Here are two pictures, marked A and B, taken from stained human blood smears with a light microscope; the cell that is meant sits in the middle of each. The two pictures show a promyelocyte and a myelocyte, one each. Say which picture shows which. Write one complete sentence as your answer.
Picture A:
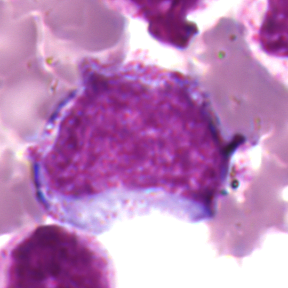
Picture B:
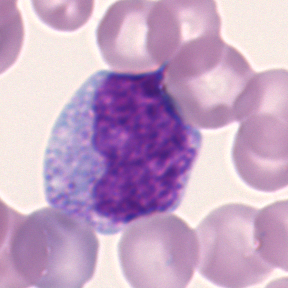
Picture A shows a promyelocyte and picture B shows a myelocyte.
